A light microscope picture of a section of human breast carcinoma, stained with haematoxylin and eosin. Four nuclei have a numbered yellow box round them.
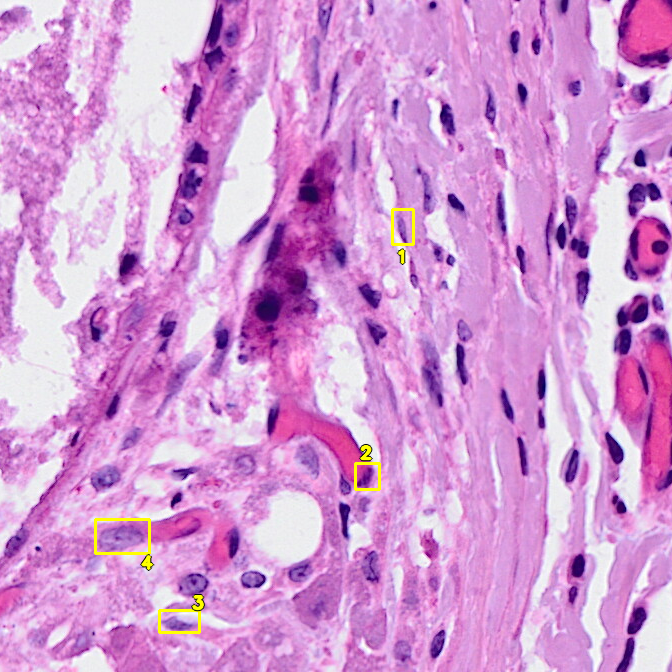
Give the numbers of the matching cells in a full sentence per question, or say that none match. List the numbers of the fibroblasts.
The cells carrying labels 1 and 3 are fibroblasts.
